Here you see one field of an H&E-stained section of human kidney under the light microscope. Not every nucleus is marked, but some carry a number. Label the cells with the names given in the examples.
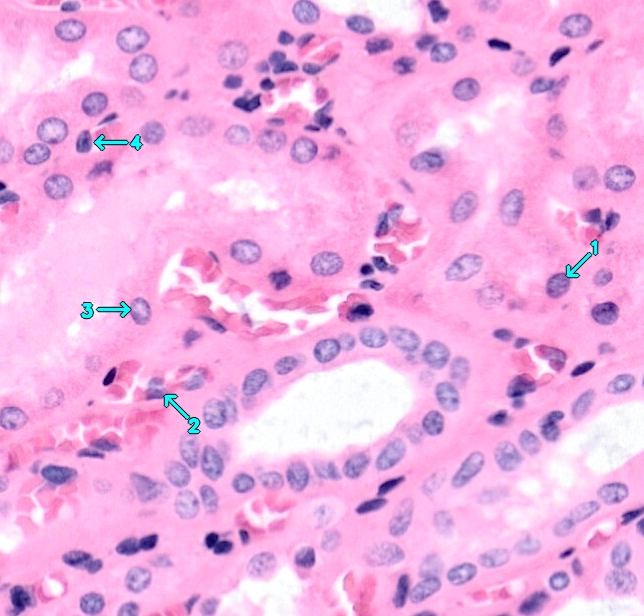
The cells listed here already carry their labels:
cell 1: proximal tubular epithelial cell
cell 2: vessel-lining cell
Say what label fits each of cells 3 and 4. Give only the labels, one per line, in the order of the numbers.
proximal tubular epithelial cell
vessel-lining cell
